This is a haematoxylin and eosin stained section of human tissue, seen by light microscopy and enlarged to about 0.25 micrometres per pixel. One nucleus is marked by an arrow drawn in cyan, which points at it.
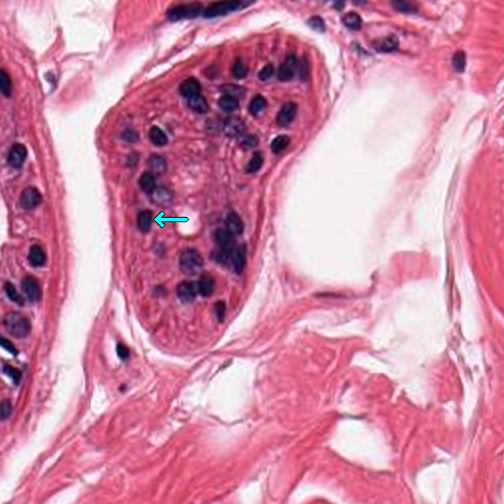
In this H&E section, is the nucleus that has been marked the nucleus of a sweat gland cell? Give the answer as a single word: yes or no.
yes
